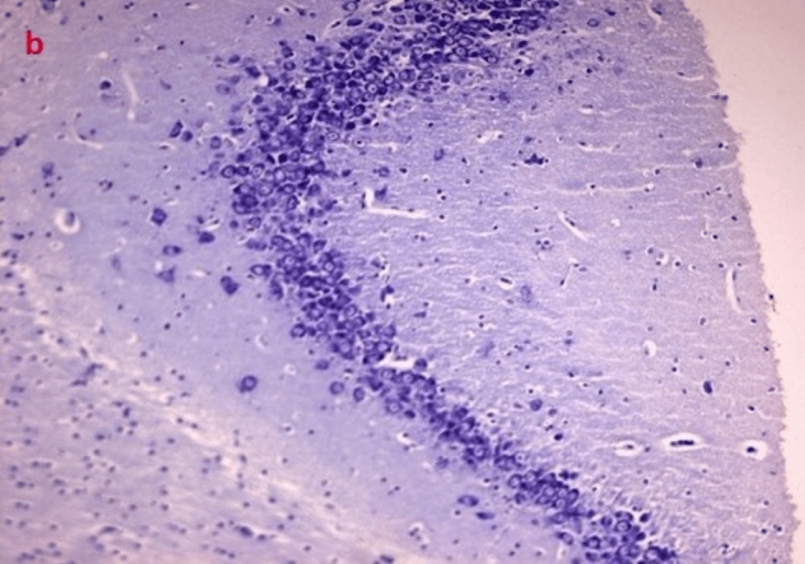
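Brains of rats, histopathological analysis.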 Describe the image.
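This lower-magnification view of the hippocampus shows a curved, densely packed band of neuronal cell bodies stained dark blue-purple. On either side lie paler layers of fibrous tissue with only scattered small nuclei and a few thin blood vessels.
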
